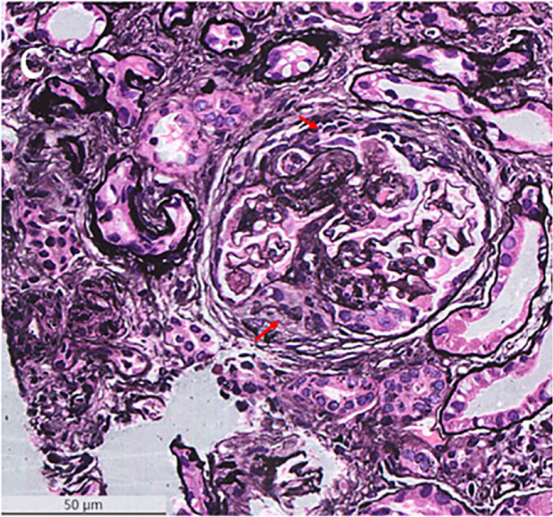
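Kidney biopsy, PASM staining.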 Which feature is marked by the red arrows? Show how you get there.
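The rim is bounded outside by a black-stained capsule. The arrows point into this rim between the tuft and the capsule. So: cellular fibrocellular crescents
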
